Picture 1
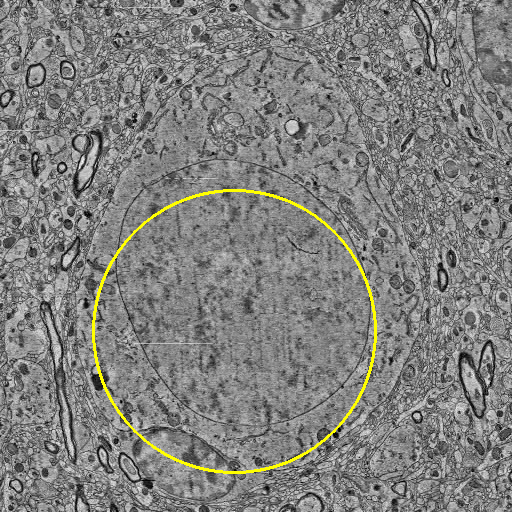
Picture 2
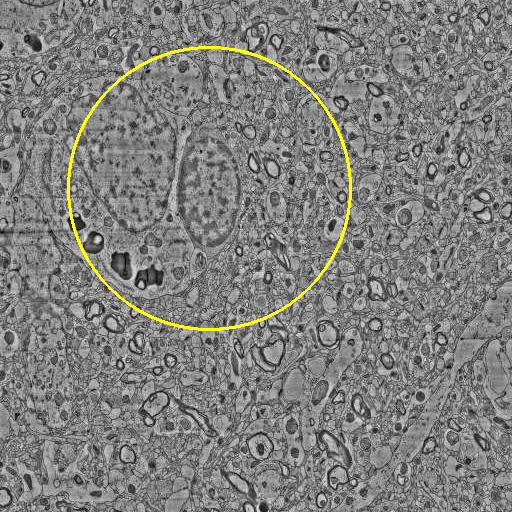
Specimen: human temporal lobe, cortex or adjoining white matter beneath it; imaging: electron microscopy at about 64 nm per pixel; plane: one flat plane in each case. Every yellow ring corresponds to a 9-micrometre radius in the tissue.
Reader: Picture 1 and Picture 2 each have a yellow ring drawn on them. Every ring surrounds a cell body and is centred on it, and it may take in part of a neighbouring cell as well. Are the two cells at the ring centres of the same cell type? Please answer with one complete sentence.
No, the cells are of two cell types.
